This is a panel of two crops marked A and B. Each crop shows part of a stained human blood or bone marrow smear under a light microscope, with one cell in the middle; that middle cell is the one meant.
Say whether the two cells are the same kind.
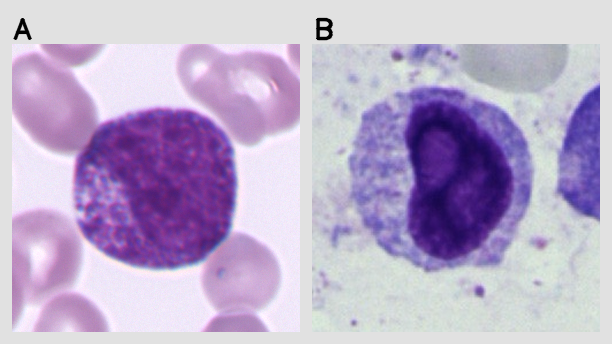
yes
